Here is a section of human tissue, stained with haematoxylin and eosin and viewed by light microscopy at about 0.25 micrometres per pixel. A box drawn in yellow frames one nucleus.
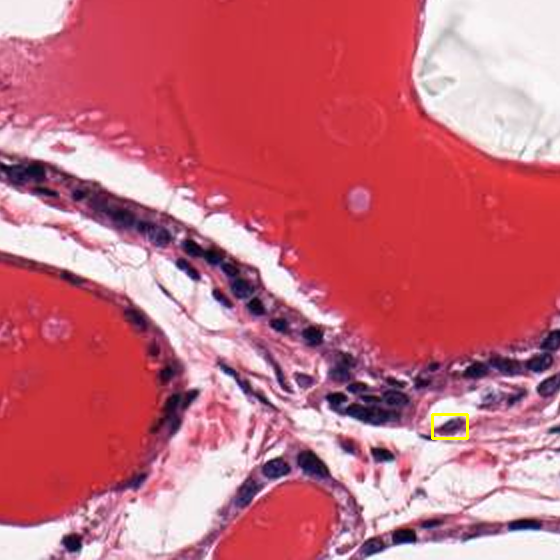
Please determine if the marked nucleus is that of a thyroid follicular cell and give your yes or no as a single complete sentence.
No, the marked nucleus is not from a thyroid follicular cell; a supporting cell is its source.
